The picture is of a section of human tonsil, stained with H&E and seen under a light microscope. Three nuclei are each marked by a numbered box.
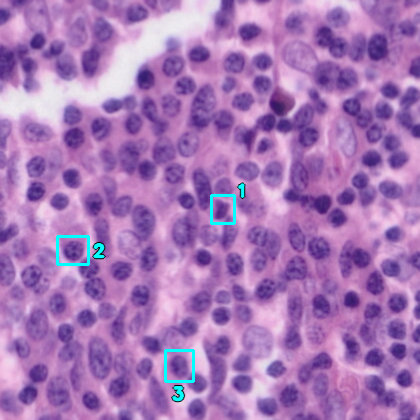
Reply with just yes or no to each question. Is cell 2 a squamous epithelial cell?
no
